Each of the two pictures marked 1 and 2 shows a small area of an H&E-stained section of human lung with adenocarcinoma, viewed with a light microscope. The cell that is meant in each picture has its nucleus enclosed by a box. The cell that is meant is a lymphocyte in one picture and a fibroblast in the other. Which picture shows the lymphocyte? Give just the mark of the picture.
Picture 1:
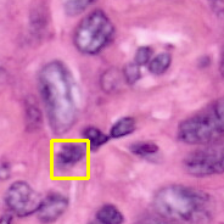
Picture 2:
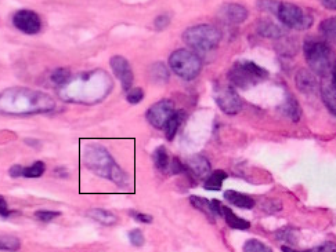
1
